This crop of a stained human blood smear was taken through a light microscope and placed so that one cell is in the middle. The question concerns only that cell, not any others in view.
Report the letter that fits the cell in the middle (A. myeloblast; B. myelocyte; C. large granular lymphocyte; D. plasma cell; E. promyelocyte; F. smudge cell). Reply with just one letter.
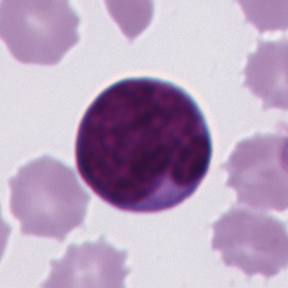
A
